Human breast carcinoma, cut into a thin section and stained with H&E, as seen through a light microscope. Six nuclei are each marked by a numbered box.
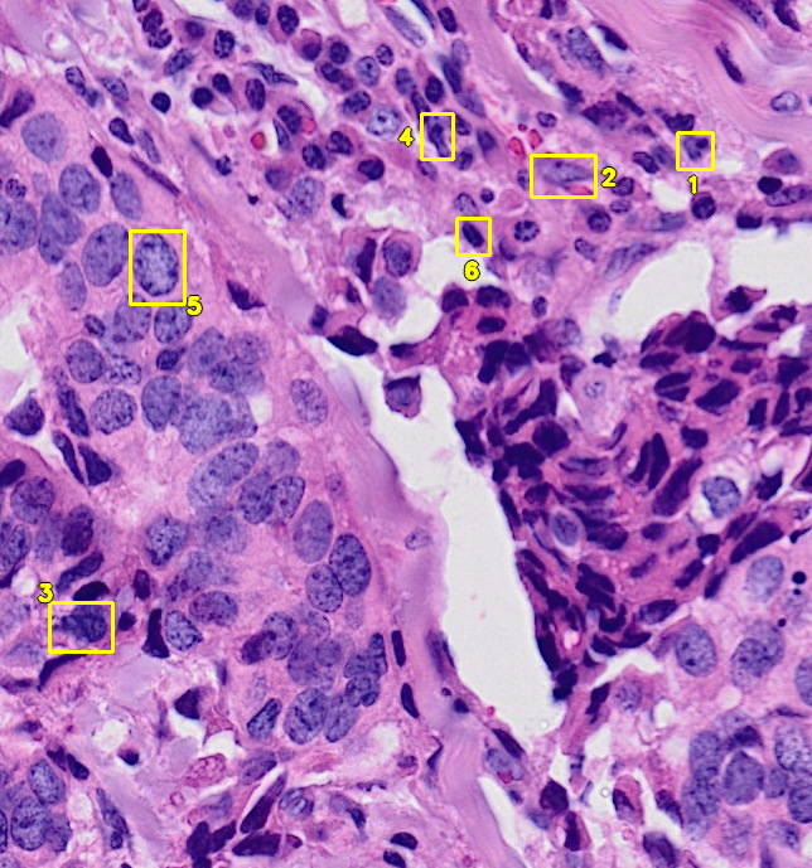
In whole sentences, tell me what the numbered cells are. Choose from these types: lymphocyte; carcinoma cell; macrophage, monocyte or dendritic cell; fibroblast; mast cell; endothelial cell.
Cell 1 is a lymphocyte, cell 2 is an endothelial cell, cell 3 is a carcinoma cell, cell 4 is a lymphocyte, cell 5 is a carcinoma cell and cell 6 is a lymphocyte.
